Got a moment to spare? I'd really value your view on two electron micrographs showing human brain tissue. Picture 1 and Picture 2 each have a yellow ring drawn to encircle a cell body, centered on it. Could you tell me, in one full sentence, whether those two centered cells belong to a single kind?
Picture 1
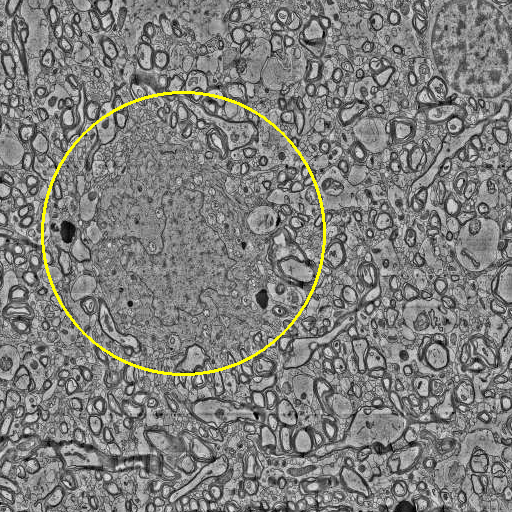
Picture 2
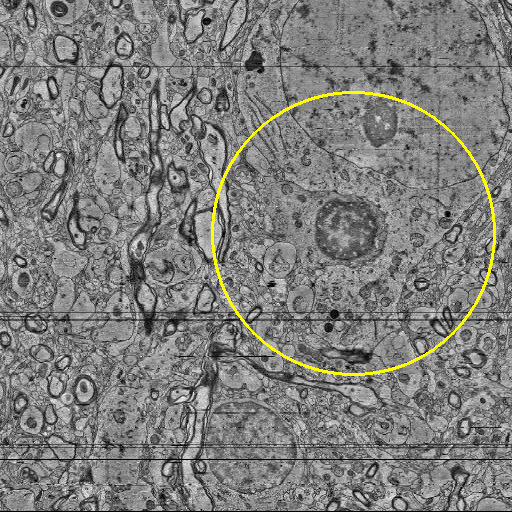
No, the two centered cells in Picture 1 and Picture 2 are of two kinds.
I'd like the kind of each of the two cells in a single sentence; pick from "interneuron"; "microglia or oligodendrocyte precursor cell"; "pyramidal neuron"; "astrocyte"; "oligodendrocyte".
The first ring marks a pyramidal neuron, and the second ring marks an oligodendrocyte.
